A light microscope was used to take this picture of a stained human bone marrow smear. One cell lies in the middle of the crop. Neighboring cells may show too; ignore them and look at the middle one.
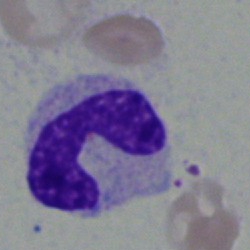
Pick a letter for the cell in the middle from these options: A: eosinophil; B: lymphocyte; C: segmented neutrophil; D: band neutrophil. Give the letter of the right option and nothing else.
D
